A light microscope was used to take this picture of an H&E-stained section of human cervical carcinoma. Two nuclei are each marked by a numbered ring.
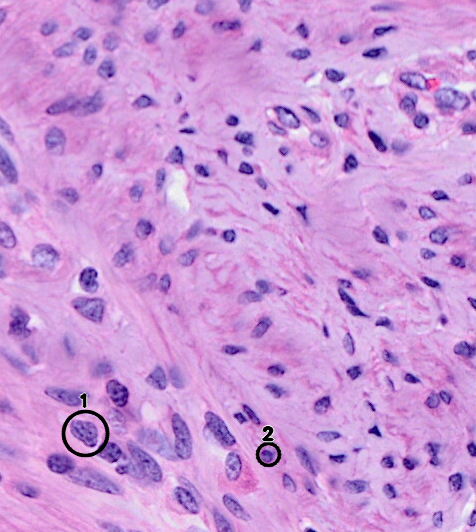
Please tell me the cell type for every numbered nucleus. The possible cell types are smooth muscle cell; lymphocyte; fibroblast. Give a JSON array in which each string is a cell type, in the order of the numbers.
["lymphocyte", "smooth muscle cell"]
